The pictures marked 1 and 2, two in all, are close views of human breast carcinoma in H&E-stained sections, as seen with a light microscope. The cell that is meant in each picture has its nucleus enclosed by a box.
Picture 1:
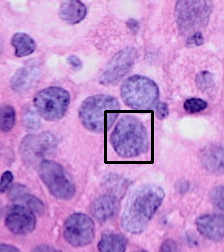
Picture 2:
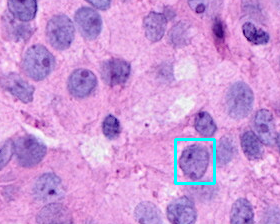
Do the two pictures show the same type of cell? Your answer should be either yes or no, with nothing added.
yes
